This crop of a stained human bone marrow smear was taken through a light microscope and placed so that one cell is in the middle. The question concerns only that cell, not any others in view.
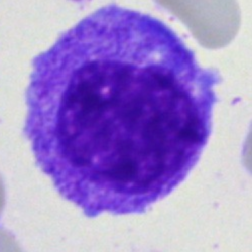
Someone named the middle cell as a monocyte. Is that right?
no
